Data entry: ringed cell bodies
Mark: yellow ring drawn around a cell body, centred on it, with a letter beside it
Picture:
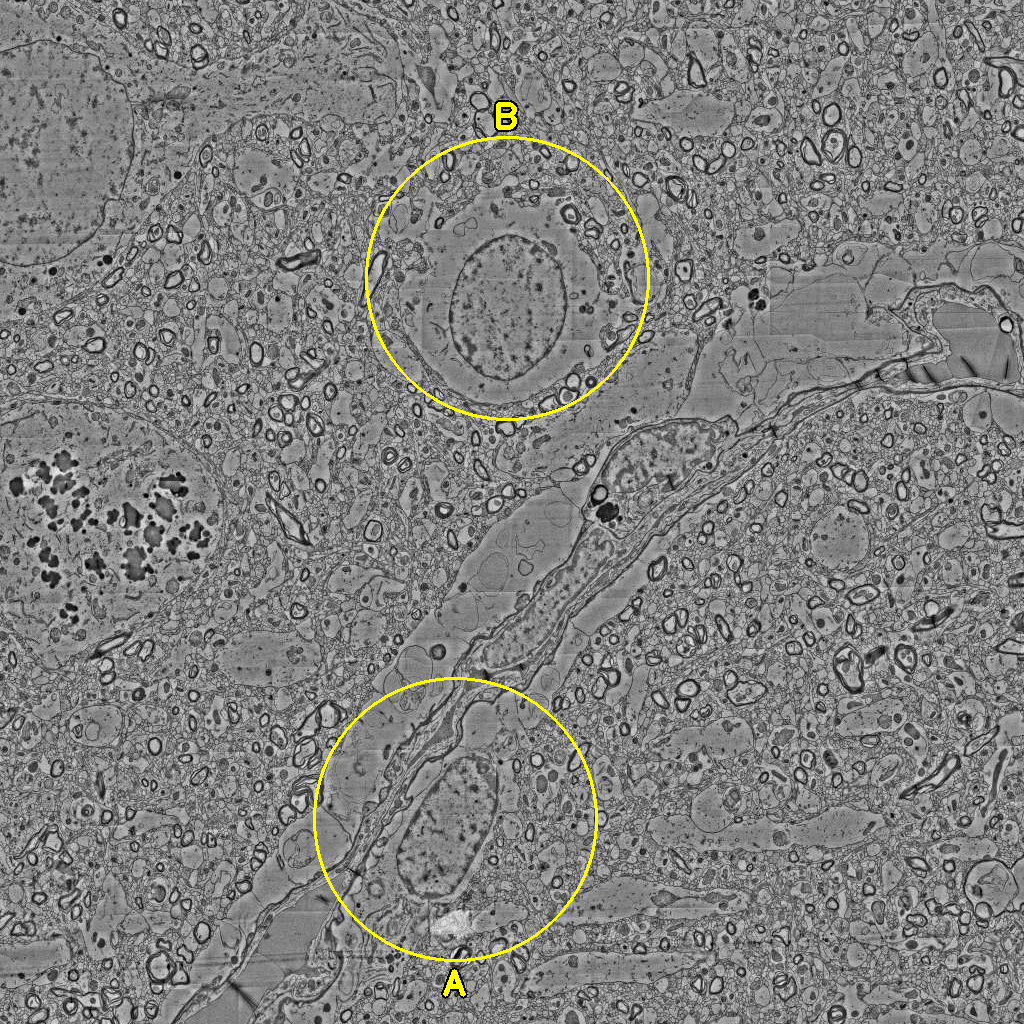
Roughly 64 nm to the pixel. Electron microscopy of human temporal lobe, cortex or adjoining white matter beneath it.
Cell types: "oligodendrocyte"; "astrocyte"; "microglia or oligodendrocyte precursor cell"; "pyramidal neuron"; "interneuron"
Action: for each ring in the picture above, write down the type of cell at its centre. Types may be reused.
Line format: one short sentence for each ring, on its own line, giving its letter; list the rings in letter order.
For ring A, the cell at the centre is a microglial cell or oligodendrocyte precursor cell.
For ring B, the cell at the centre is an astrocyte.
